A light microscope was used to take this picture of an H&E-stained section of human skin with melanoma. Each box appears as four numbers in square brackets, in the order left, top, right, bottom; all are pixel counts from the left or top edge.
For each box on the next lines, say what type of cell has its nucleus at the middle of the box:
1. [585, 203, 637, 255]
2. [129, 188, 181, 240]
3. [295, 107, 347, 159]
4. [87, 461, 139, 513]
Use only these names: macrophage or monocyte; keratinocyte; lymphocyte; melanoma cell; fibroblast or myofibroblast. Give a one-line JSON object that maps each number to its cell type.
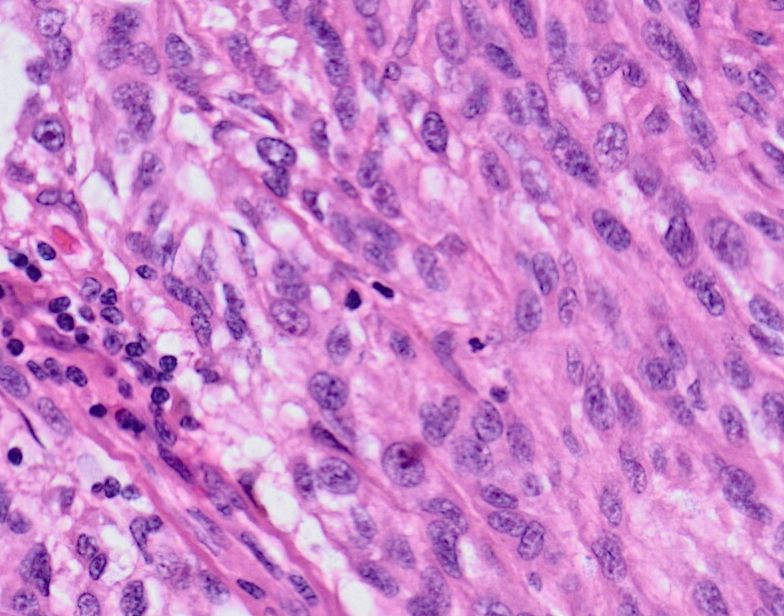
{"1": "melanoma cell", "2": "melanoma cell", "3": "melanoma cell", "4": "lymphocyte"}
